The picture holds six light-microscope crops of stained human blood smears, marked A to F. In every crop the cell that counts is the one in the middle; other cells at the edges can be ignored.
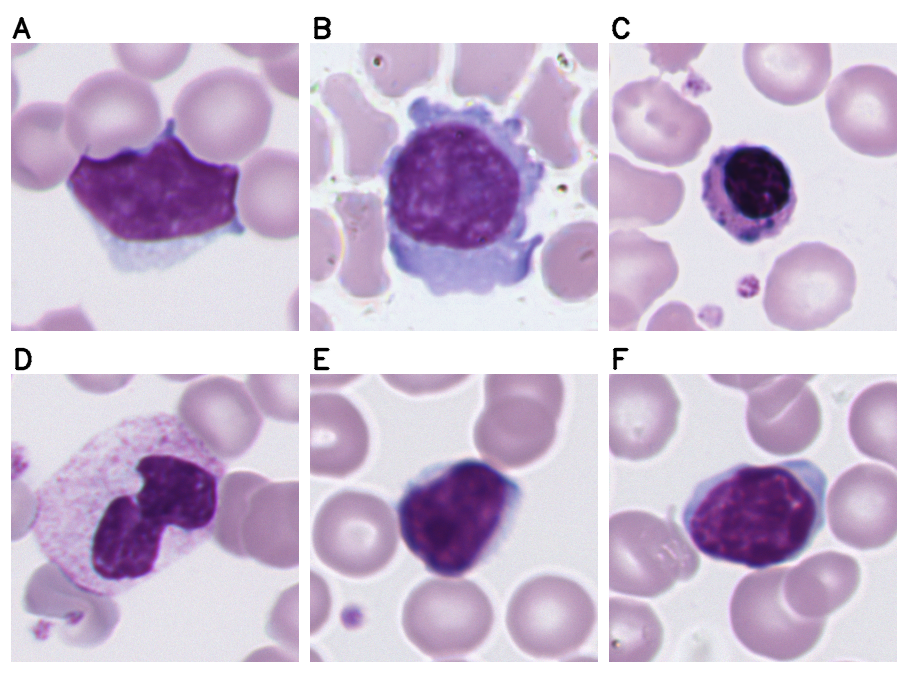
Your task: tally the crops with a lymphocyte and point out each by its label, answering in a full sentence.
The crops labelled A, E and F show lymphocytes, three crops in total.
